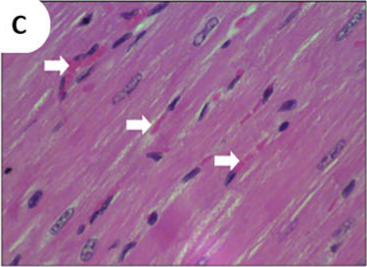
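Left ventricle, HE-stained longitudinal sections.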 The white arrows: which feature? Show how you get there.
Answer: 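Narrow channels run between the pink muscle fibres in the direction of the fibres. Some of these channels contain bright red corpuscles. Elongated flat nuclei line the channels.
Hence: intramyocardial vessels.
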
